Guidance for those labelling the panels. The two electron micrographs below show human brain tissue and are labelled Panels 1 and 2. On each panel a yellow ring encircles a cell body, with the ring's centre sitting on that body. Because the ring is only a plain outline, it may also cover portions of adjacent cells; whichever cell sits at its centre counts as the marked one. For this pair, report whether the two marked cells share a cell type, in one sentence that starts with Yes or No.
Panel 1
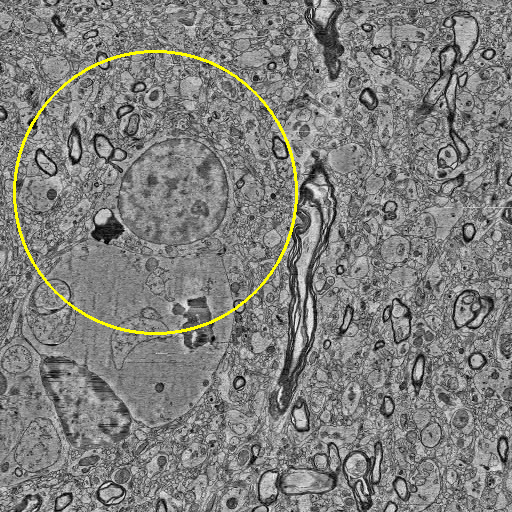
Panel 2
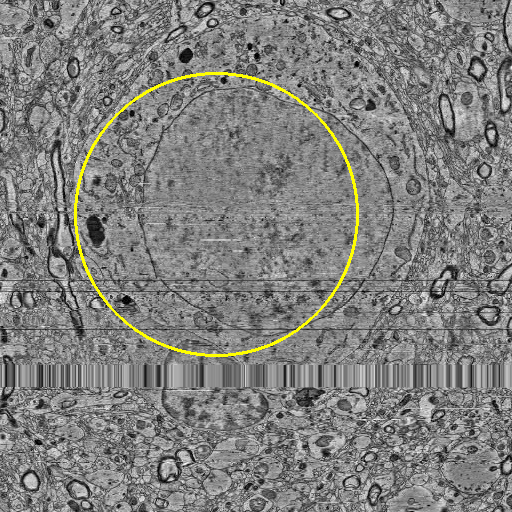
No, in Panel 1 and Panel 2 the marked cells at the ring centres are of two types.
